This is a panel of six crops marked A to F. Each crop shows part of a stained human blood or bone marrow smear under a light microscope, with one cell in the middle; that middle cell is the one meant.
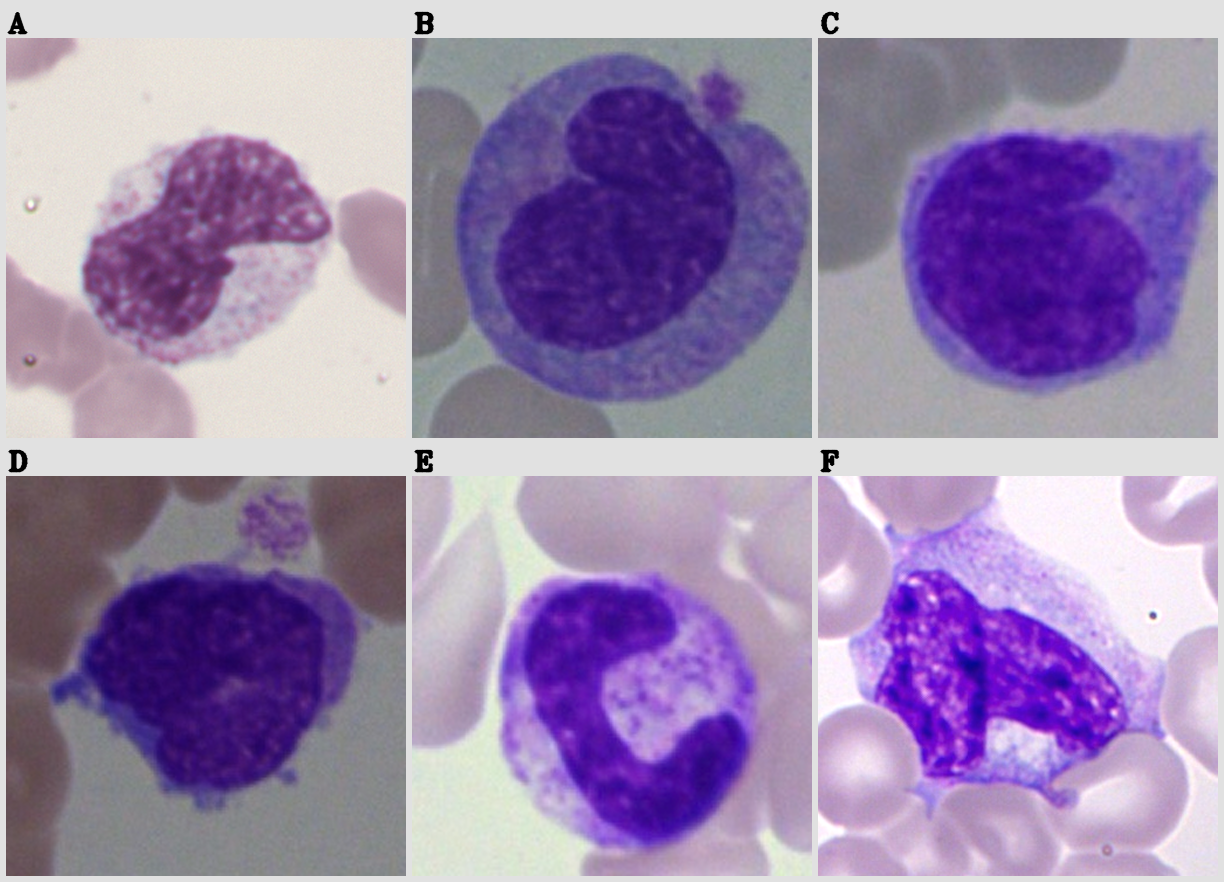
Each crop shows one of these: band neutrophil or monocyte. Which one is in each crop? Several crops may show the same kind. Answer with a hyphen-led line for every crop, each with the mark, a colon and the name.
- A: band neutrophil
- B: monocyte
- C: monocyte
- D: monocyte
- E: band neutrophil
- F: monocyte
